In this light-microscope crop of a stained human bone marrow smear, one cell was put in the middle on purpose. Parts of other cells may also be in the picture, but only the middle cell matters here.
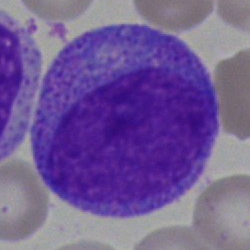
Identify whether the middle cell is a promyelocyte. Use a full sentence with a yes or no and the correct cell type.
Yes, in this crop the cell in the middle is a promyelocyte.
